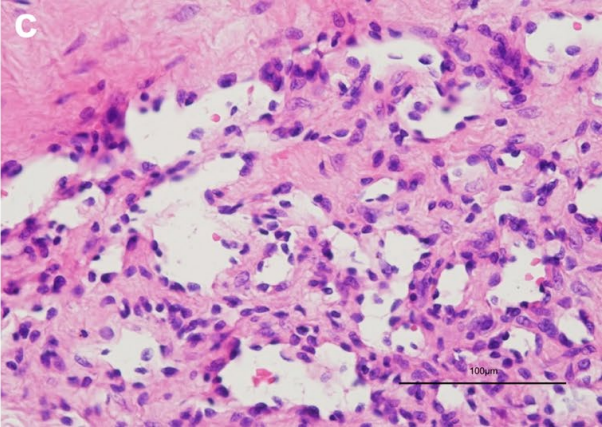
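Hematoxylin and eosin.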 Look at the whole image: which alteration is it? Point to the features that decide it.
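Dark nuclei of lining cells bulge into the open channel spaces. The lining cells are plump rather than flat along the channel walls. Red blood cells sit inside the channels. On this evidence: Hobnail-like protruding.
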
